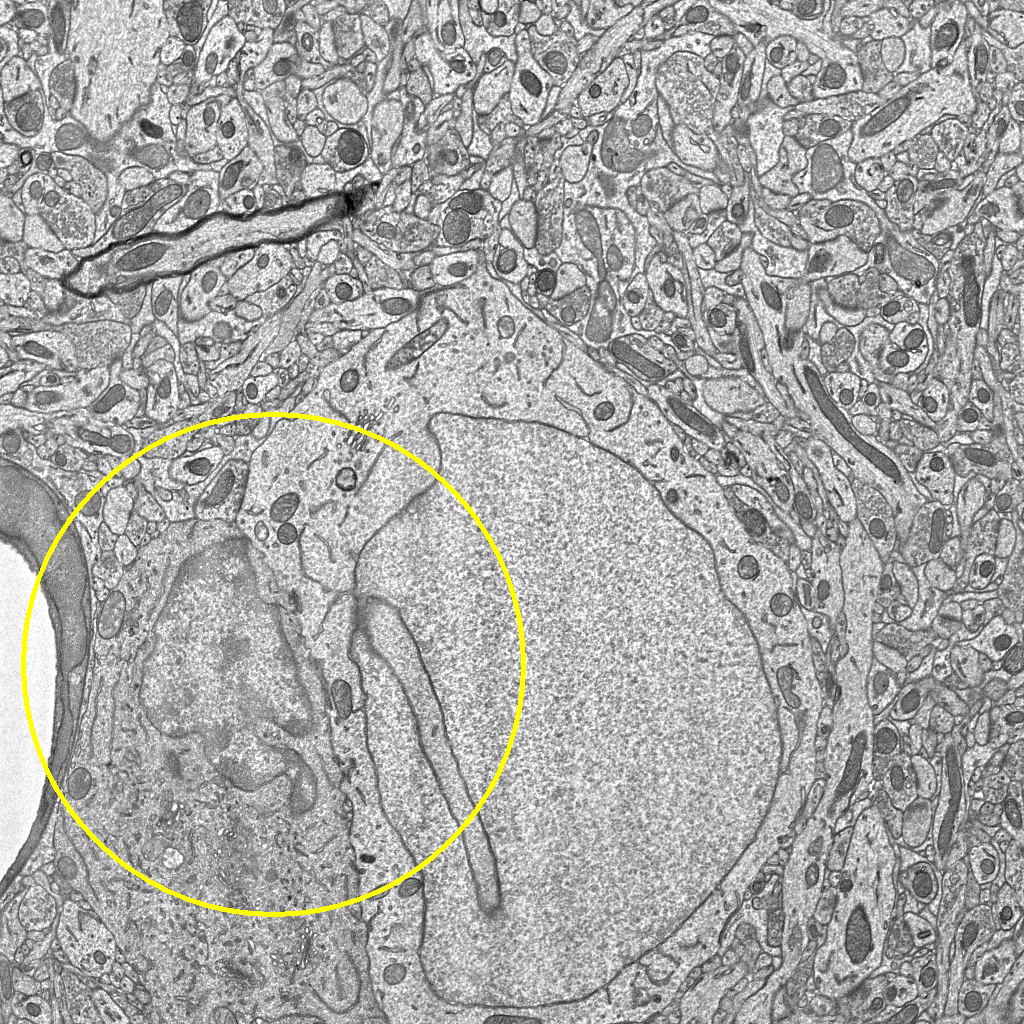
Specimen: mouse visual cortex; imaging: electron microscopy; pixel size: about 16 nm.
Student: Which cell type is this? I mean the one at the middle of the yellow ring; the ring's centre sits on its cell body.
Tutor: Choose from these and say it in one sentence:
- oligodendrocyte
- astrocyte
The cell at the ring's centre is an oligodendrocyte.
